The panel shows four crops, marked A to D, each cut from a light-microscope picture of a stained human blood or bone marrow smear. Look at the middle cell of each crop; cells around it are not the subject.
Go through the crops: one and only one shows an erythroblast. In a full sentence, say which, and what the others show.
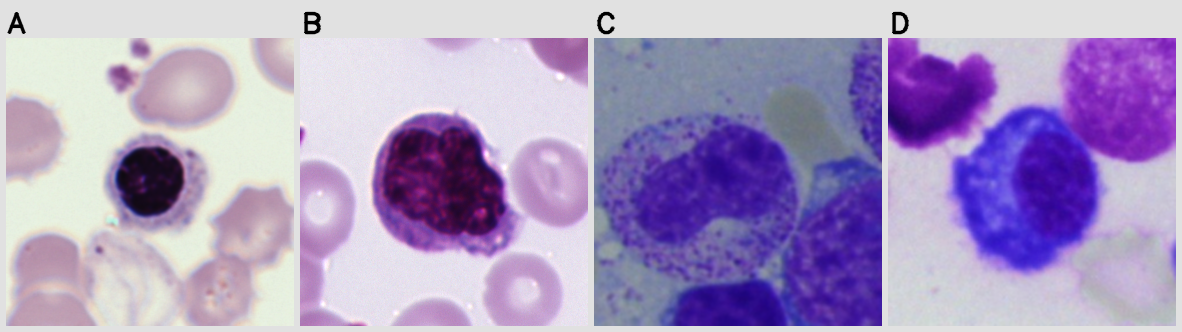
Crop A shows an erythroblast, while crop B is a monocyte, crop C is a metamyelocyte and crop D is a plasma cell.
